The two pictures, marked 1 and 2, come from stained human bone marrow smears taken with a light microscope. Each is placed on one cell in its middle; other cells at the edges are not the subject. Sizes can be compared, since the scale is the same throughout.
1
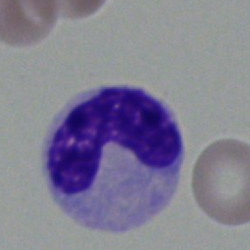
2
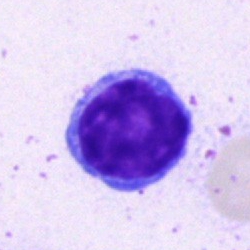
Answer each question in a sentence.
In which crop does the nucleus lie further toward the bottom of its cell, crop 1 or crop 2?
In crop 2 the nucleus is shifted more toward the bottom.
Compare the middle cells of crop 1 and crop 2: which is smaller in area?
Smaller is the cell in crop 2, and the other is about 1.5 times as large in area.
